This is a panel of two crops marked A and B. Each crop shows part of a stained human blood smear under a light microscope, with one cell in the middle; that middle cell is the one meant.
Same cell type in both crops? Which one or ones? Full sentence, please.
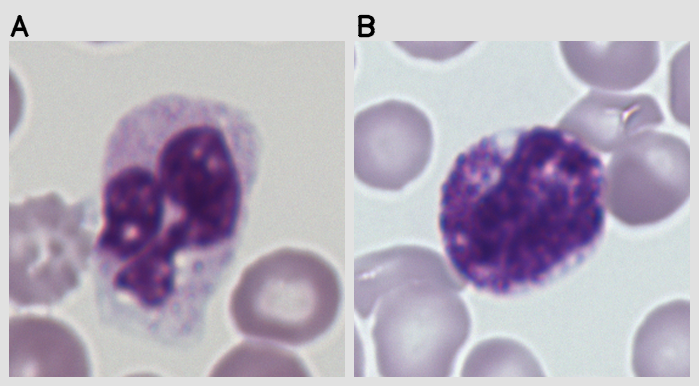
No, crop A should be called a segmented neutrophil, and crop B should be called a basophil.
